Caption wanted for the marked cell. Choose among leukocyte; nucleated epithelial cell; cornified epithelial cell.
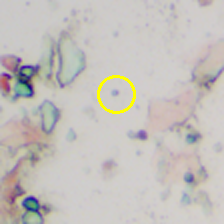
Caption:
Ringed in yellow is a leukocyte.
